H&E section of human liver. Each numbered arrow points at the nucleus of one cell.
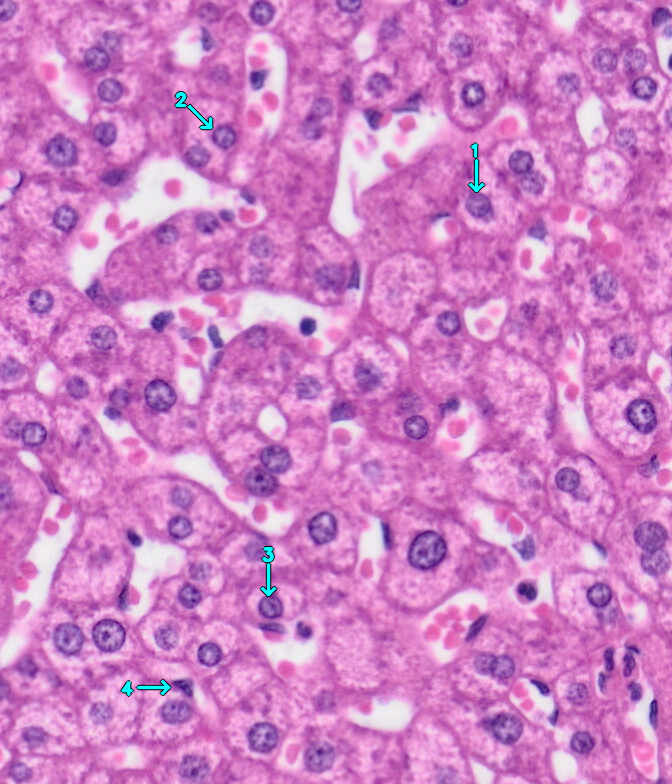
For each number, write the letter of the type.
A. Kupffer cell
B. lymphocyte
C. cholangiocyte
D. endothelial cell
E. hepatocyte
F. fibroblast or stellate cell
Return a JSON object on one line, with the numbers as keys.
{"1": "E", "2": "E", "3": "E", "4": "D"}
